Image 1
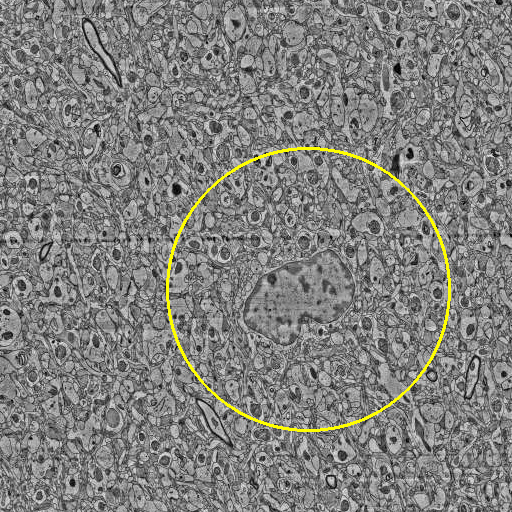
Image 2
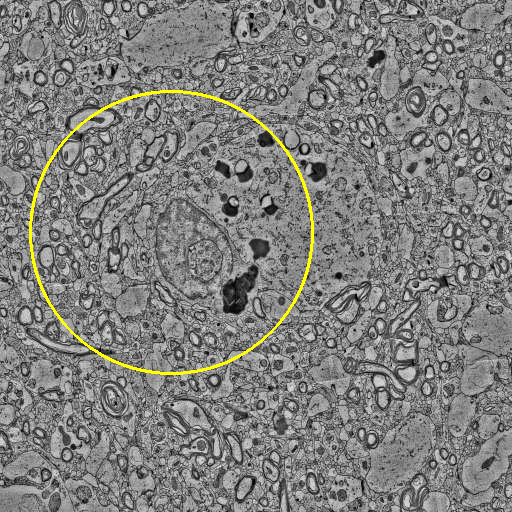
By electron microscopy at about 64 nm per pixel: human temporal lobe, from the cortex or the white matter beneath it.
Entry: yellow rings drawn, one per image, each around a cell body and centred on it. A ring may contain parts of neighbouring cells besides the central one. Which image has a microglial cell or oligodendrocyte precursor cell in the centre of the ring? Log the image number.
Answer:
1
